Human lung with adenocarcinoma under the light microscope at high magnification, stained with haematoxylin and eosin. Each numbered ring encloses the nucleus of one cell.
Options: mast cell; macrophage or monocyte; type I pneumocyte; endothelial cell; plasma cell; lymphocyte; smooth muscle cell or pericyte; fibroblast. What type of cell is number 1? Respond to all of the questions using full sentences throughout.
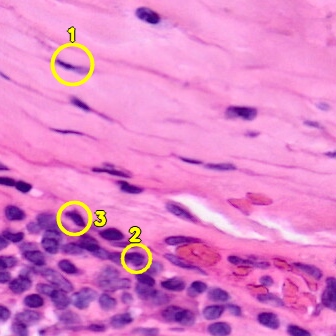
The cell indicated with the number 1 is classed as a fibroblast.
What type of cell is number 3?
Classified as a lymphocyte is the cell with the number 3.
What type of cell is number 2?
The cell referred to as 2 is a lymphocyte.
